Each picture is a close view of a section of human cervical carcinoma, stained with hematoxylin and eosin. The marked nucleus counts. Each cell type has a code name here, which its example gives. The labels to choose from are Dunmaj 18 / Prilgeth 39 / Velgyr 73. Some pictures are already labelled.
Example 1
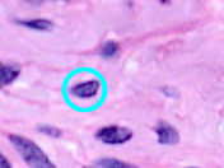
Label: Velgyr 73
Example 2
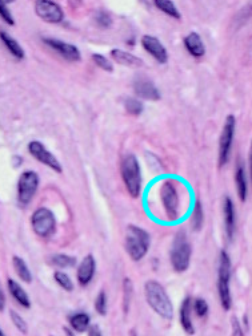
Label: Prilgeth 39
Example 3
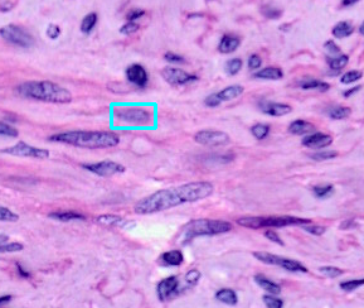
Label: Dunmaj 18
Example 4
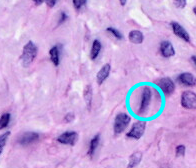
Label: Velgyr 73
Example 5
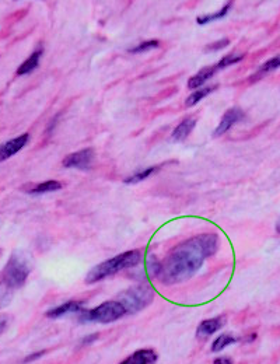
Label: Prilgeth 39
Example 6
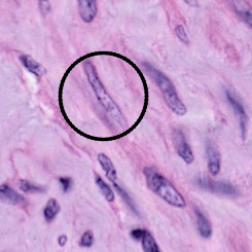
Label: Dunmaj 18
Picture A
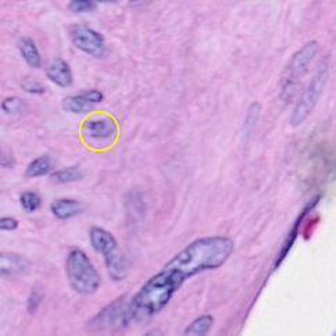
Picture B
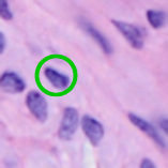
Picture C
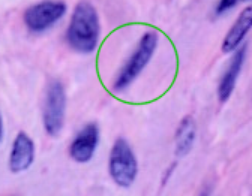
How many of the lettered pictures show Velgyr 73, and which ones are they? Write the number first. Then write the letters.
2: B, C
